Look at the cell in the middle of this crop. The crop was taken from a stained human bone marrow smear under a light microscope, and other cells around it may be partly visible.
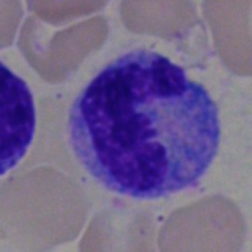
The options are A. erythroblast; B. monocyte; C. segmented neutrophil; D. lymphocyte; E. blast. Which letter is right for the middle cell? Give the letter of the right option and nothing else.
B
